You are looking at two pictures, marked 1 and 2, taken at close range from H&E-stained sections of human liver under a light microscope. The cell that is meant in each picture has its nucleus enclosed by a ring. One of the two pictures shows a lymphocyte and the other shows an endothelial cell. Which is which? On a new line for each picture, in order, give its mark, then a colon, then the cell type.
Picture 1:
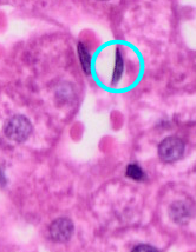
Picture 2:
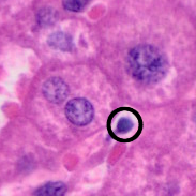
1: endothelial cell
2: lymphocyte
